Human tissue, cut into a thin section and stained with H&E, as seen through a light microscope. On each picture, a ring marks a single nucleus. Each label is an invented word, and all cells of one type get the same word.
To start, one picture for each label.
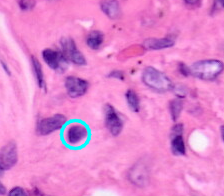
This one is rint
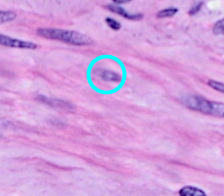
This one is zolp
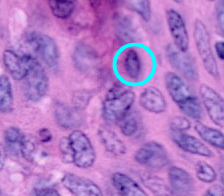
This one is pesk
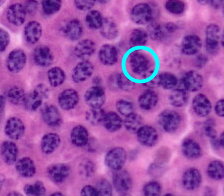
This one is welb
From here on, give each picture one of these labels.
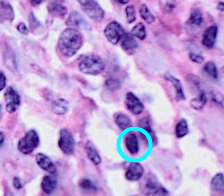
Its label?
rint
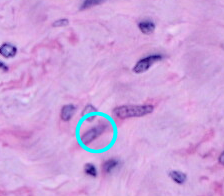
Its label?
zolp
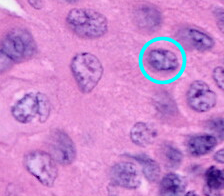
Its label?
pesk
